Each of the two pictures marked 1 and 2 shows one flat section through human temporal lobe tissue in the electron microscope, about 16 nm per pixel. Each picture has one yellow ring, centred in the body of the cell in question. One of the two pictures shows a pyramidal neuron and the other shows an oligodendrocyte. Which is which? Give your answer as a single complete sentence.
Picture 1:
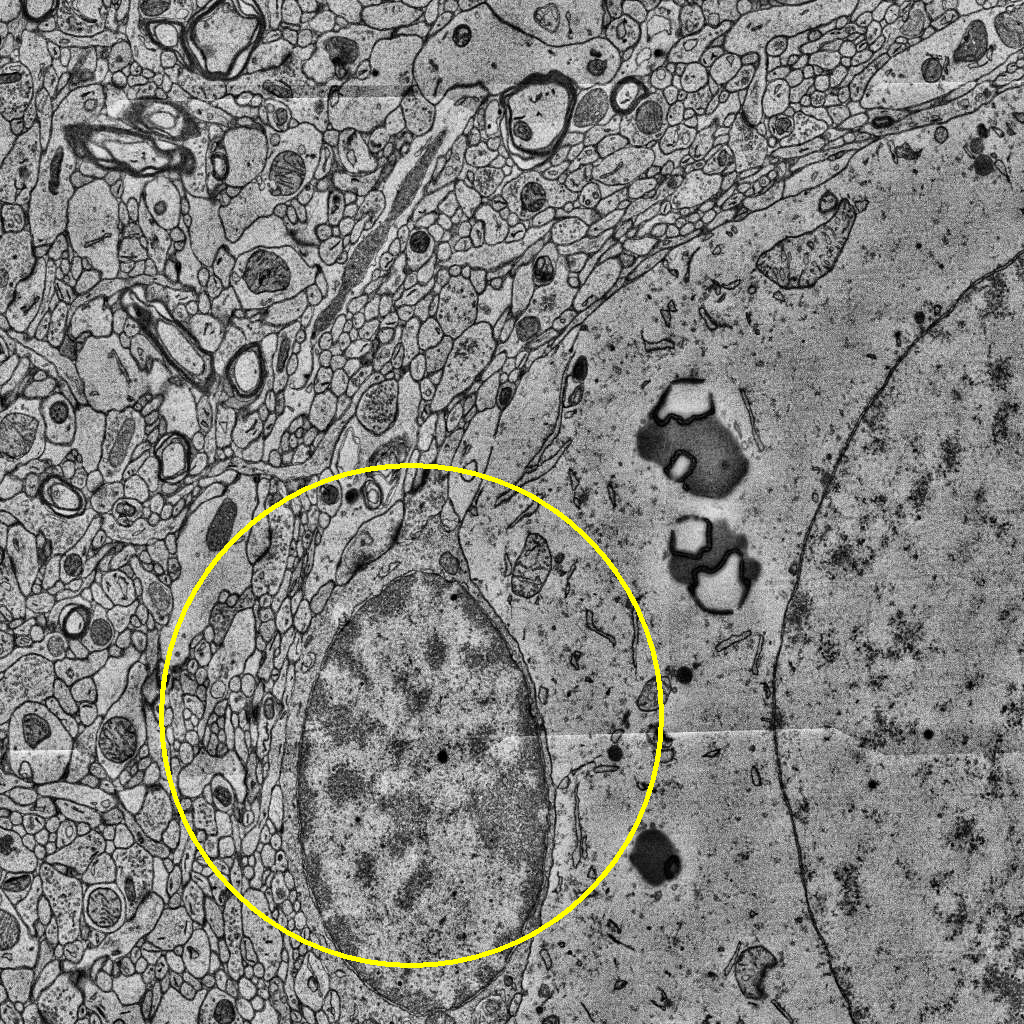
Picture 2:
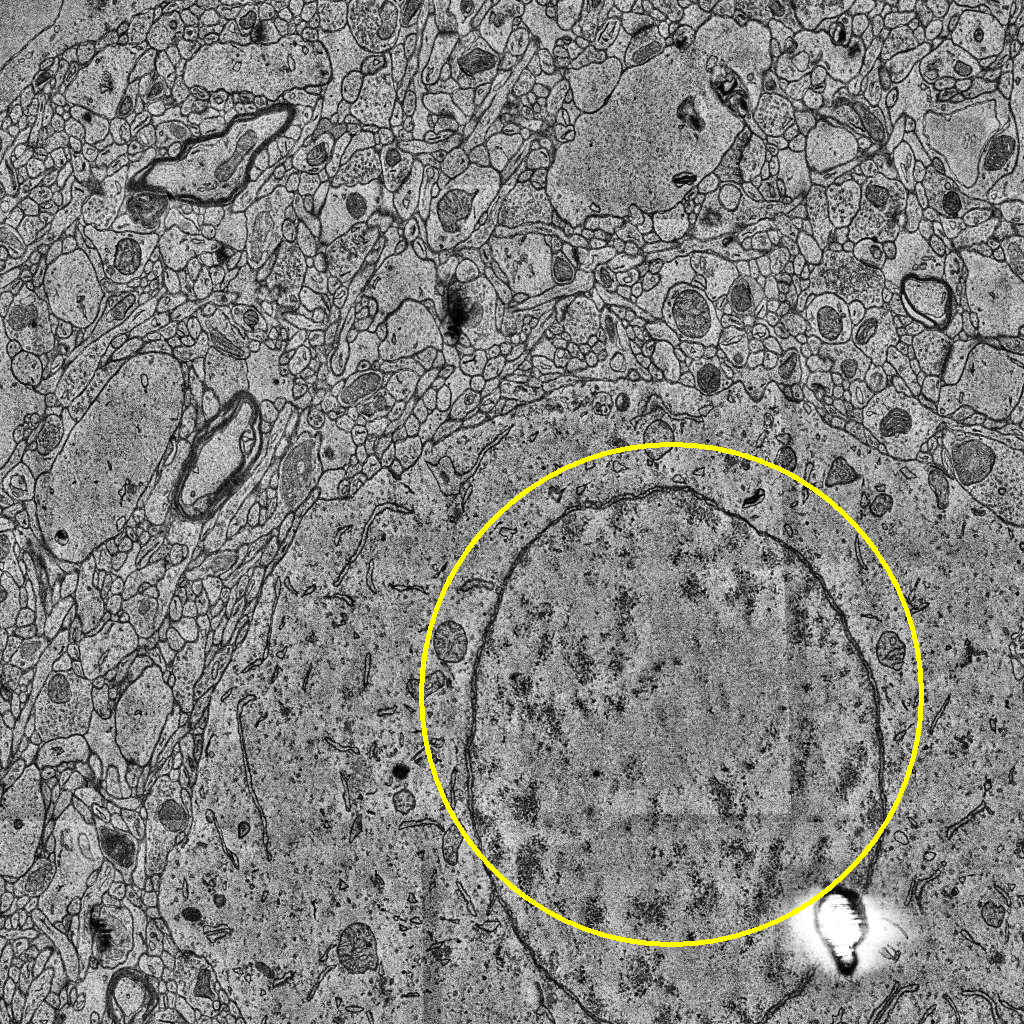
Picture 1 is of an oligodendrocyte, and picture 2 is of a pyramidal neuron.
